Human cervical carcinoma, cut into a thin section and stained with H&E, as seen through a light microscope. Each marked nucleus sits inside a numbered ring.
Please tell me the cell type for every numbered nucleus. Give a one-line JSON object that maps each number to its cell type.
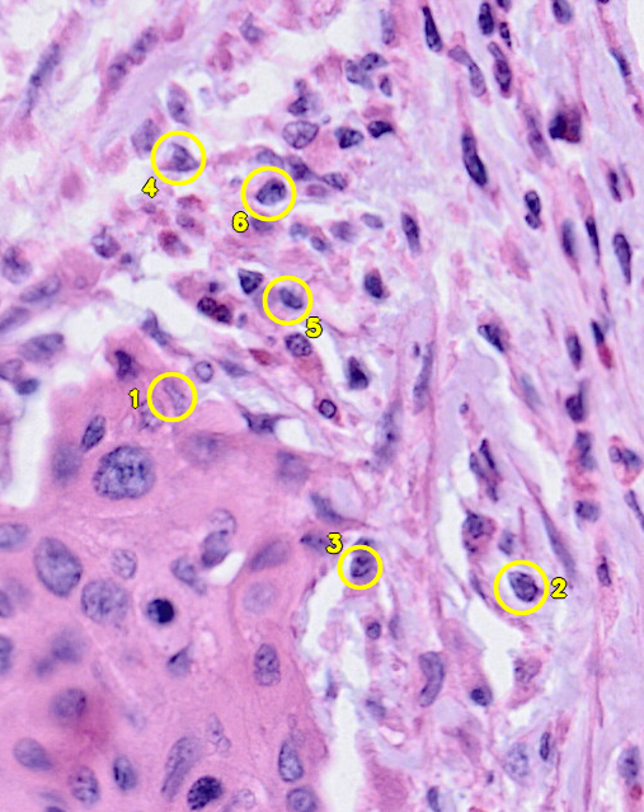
{"1": "squamous carcinoma cell", "2": "lymphocyte", "3": "macrophage or monocyte", "4": "fibroblast", "5": "lymphocyte", "6": "lymphocyte"}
